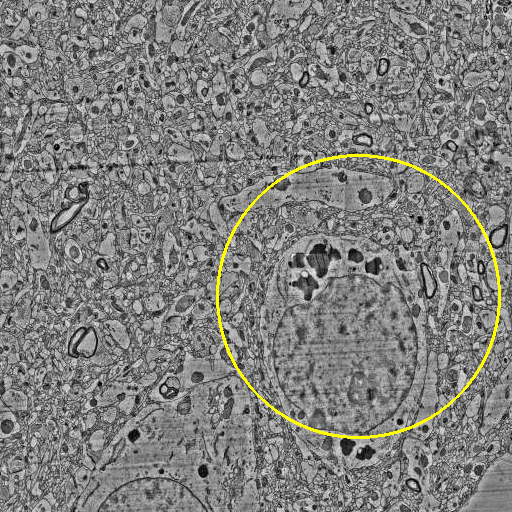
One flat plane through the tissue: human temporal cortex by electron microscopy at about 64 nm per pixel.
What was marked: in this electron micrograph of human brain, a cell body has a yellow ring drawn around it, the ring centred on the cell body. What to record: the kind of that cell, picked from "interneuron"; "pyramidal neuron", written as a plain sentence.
The centred cell is an interneuron.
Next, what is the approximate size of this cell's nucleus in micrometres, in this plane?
About 10 micrometers across, in this plane.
